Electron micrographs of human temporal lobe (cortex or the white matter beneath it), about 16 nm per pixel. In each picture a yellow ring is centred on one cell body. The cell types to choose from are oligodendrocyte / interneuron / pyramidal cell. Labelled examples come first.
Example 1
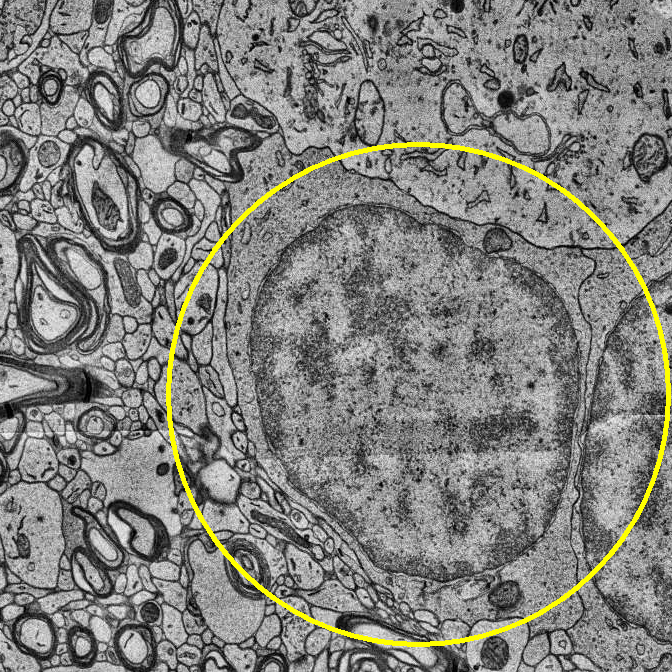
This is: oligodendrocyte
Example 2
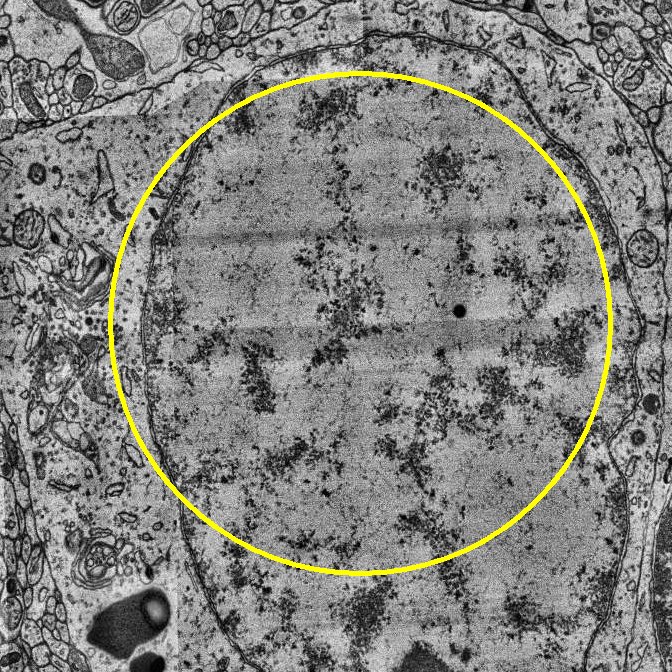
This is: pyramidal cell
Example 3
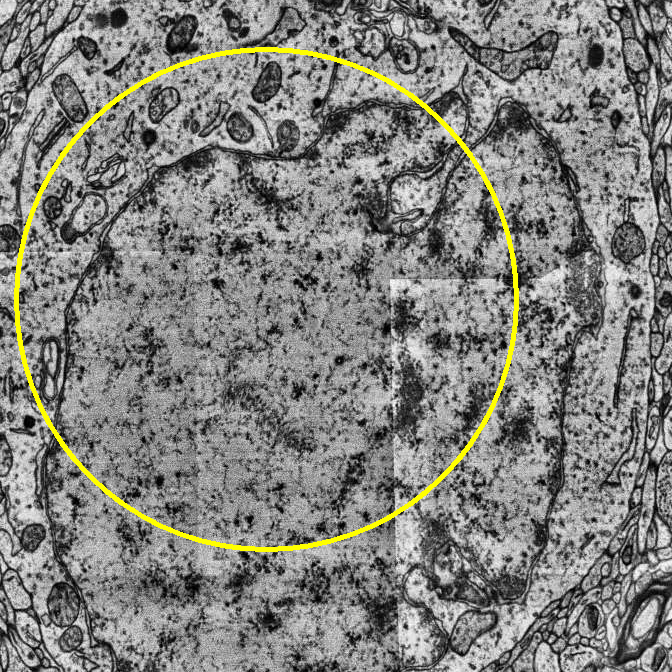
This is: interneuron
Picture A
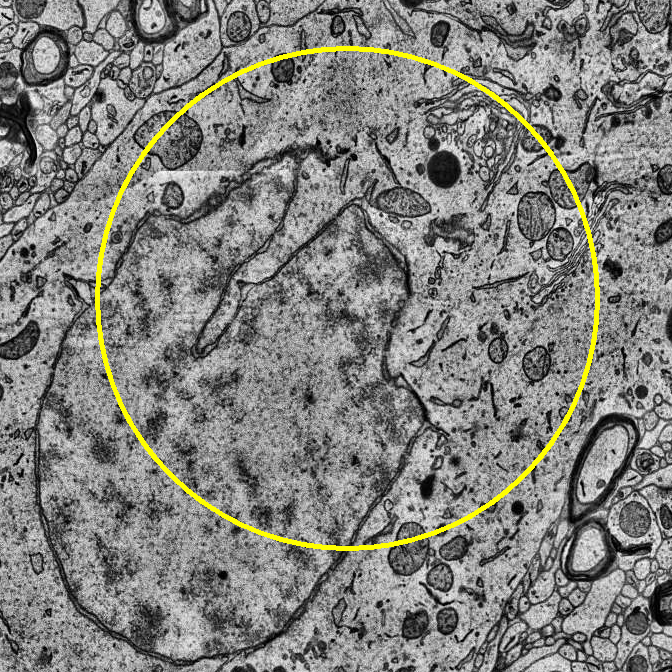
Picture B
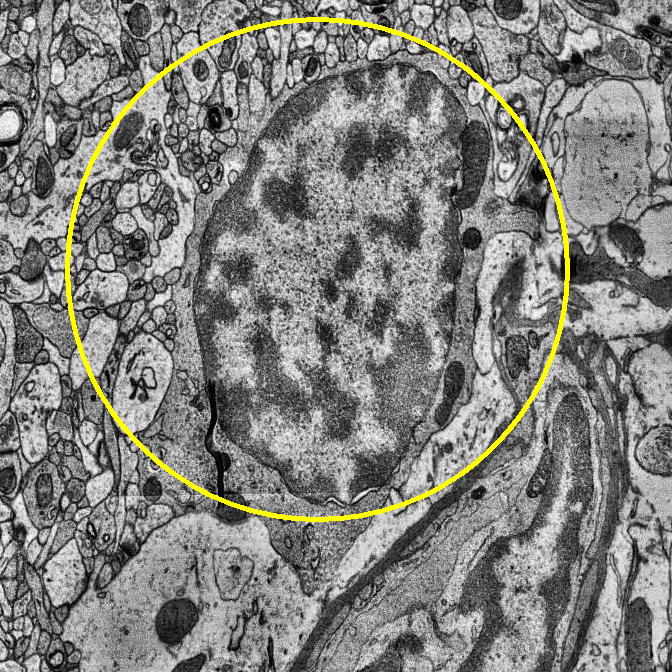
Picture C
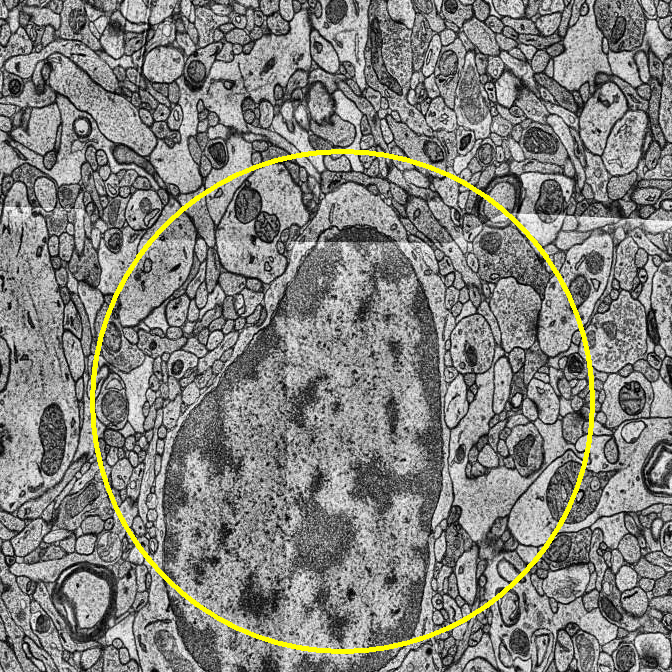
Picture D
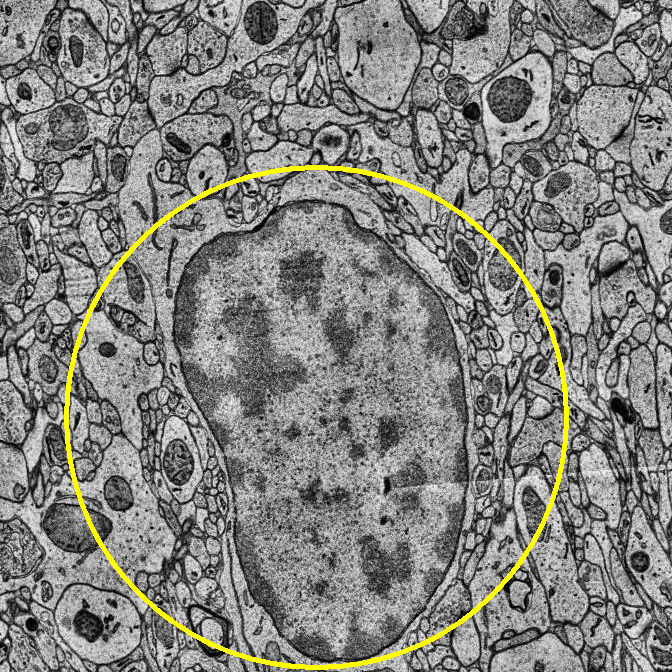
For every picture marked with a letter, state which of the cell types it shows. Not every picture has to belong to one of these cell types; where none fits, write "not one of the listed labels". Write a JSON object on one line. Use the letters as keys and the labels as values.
{"A": "pyramidal cell", "B": "oligodendrocyte", "C": "not one of the listed labels", "D": "not one of the listed labels"}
